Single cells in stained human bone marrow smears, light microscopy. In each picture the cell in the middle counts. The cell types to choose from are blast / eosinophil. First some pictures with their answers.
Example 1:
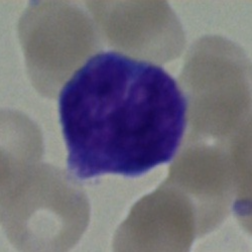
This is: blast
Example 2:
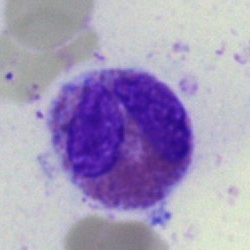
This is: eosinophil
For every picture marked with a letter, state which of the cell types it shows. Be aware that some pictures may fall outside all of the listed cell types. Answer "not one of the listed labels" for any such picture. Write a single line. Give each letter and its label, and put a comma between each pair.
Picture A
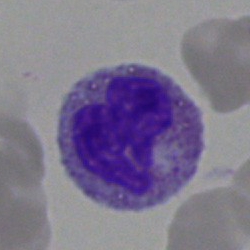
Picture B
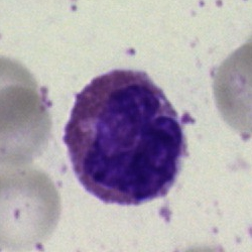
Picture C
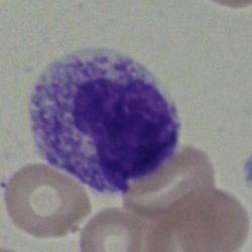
A eosinophil, B eosinophil, C not one of the listed labels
